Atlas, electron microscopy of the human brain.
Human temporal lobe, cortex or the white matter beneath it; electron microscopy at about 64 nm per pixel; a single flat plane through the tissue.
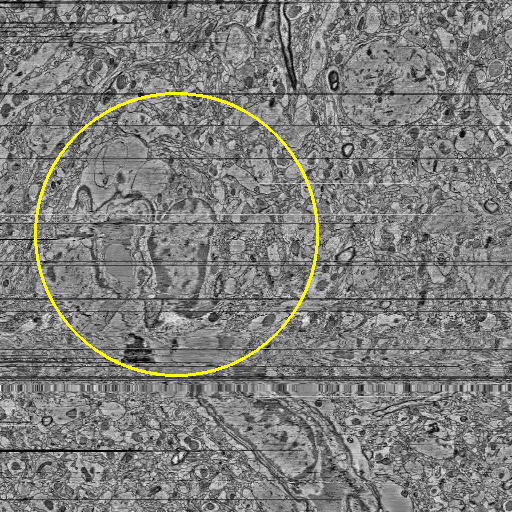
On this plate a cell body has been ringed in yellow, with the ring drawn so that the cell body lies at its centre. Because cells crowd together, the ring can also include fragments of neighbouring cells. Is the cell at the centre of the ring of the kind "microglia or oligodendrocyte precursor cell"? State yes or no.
Yes, it is of that kind.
